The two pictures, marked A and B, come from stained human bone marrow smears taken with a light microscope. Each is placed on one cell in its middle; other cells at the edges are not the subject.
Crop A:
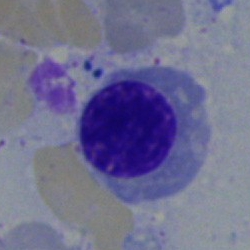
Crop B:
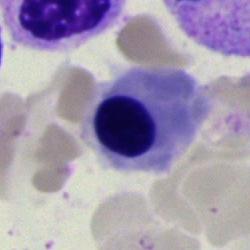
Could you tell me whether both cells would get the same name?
yes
